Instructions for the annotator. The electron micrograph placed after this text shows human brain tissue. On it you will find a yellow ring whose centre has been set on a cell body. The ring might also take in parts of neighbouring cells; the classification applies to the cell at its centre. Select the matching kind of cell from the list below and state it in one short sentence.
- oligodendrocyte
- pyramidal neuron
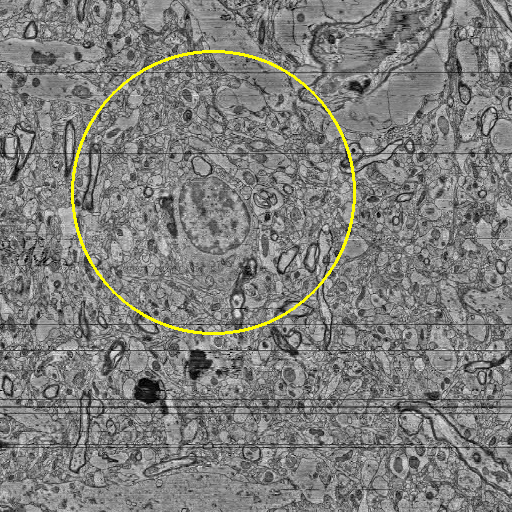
The ring is drawn on the cell body of an oligodendrocyte.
